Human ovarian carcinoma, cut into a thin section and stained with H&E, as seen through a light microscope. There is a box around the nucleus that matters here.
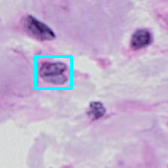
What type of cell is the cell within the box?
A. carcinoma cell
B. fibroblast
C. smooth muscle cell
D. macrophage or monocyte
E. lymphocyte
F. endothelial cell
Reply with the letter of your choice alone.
D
